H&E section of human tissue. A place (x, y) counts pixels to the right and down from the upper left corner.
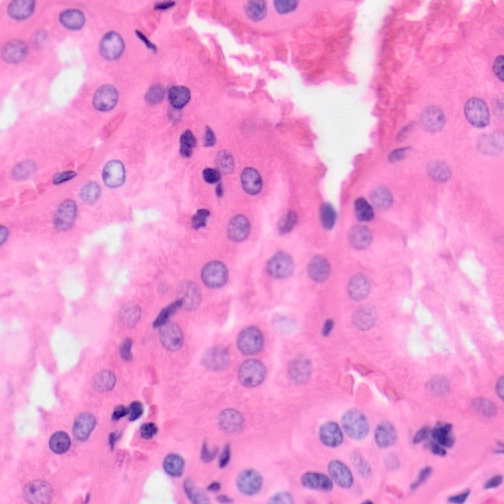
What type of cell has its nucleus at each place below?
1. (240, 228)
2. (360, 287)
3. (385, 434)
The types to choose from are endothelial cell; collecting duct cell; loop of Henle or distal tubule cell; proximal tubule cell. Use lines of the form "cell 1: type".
cell 1: proximal tubule cell
cell 2: proximal tubule cell
cell 3: collecting duct cell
